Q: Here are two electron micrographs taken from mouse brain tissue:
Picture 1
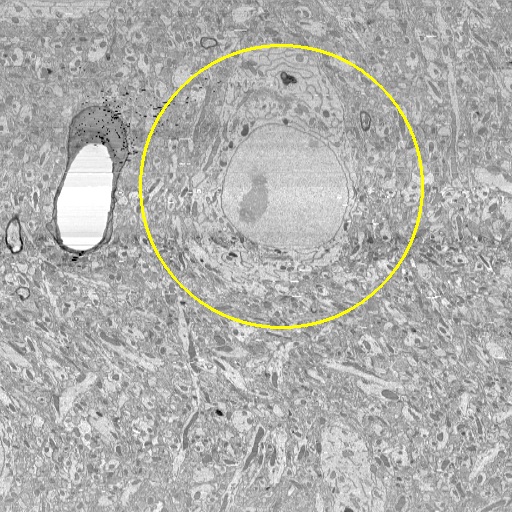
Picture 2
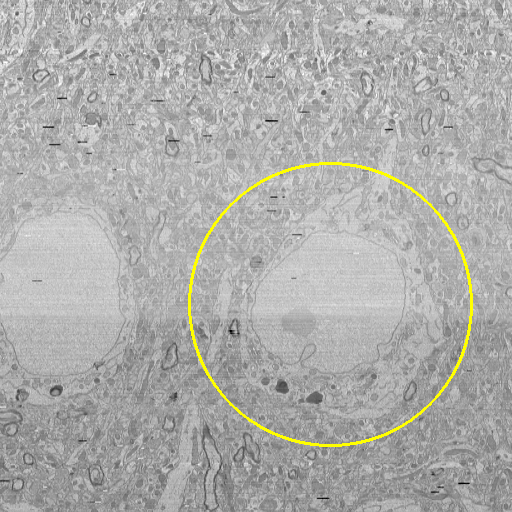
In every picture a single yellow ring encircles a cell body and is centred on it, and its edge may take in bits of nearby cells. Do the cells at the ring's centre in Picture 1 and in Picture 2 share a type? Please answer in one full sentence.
Yes, the cells at the ring's centre in Picture 1 and Picture 2 share a type.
